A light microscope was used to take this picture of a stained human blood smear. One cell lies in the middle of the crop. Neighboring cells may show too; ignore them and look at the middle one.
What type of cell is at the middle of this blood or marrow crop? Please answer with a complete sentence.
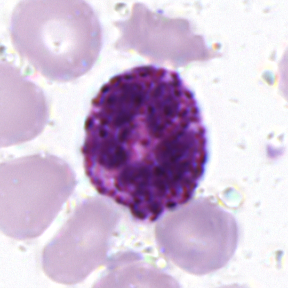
What sits at the centre of this crop is a basophil.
